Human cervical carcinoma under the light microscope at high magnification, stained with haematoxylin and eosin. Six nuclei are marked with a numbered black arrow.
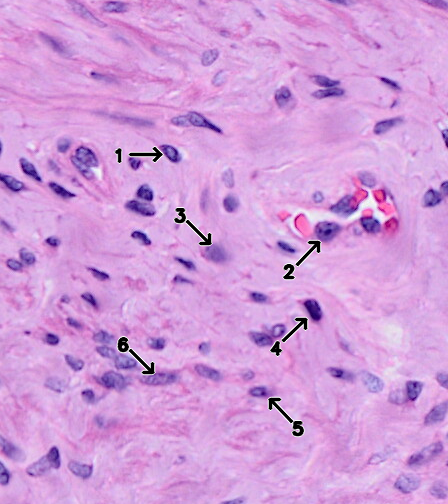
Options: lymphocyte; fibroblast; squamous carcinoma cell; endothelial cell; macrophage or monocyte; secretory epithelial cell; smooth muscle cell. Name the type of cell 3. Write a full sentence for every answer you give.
Nucleus 3 in this section belongs to a fibroblast.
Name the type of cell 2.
The cell to which the number 2 is assigned is an endothelial cell.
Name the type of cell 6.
The cell that goes by number 6 is a smooth muscle cell.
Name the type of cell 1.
The one labeled 1 is a fibroblast, to put it simply.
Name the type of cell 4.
The cell identified by the number 4 is a lymphocyte.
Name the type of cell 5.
The one numbered 5 among the marked cells is a smooth muscle cell.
